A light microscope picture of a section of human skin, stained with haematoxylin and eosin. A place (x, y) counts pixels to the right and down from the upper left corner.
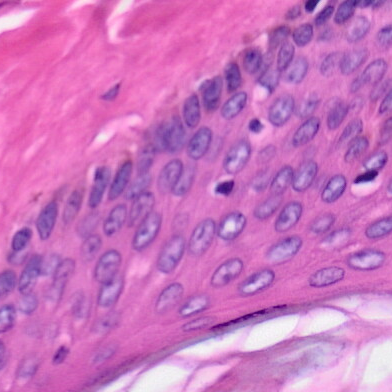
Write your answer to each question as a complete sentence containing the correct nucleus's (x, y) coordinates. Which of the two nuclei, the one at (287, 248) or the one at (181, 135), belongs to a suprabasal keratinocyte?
The nucleus whose position is (287, 248) belongs to a suprabasal keratinocyte.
